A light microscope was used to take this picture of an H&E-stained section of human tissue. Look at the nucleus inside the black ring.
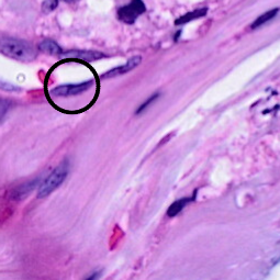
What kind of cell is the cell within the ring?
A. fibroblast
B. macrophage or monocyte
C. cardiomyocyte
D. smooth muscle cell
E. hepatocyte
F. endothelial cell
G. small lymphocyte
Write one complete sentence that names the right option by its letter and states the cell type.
Hey, it is option F: the cell within the ring is an endothelial cell.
